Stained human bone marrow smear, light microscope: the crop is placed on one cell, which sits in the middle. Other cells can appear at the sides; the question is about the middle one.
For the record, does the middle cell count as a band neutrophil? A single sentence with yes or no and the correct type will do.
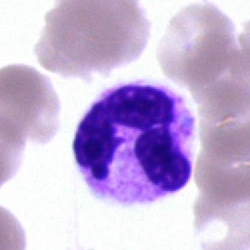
No, the middle cell is classified as a segmented neutrophil and not as a band neutrophil.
